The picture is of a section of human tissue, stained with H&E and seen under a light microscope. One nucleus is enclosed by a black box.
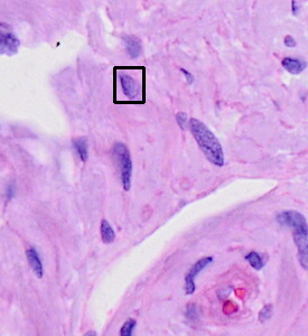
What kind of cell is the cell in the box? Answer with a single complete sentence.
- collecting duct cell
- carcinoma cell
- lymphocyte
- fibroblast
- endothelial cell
The cell type of the cell in the box is that of a fibroblast.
